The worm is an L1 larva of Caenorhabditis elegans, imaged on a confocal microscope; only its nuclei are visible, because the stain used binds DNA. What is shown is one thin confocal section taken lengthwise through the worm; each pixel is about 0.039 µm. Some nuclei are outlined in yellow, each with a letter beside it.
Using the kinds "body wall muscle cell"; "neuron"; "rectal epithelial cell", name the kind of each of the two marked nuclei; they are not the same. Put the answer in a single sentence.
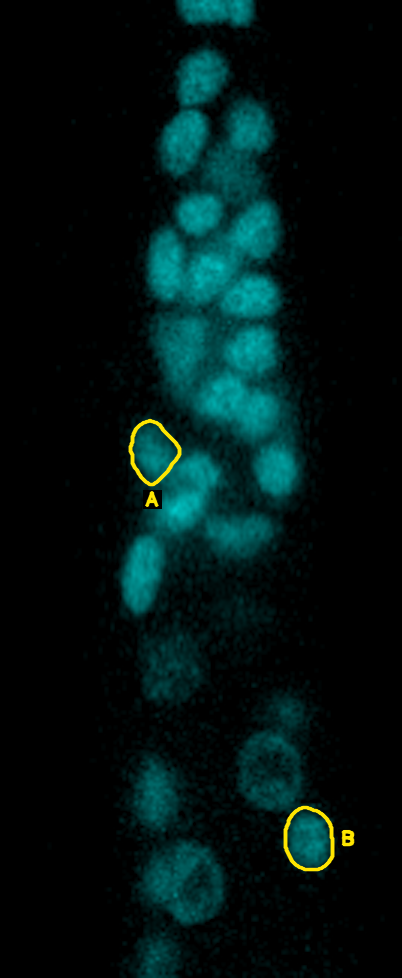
Nucleus A comes from a rectal epithelial cell and nucleus B from a body wall muscle cell.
